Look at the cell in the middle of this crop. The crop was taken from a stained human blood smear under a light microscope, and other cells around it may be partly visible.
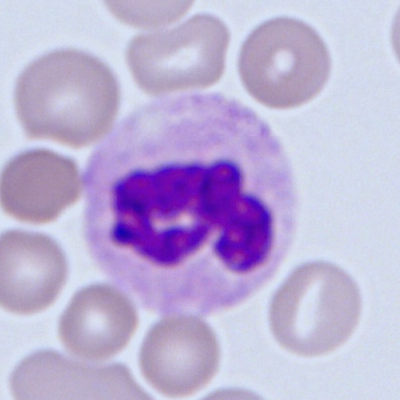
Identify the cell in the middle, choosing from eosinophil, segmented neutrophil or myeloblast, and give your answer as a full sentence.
The cell shown in the center of this light-microscope crop is a segmented neutrophil.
